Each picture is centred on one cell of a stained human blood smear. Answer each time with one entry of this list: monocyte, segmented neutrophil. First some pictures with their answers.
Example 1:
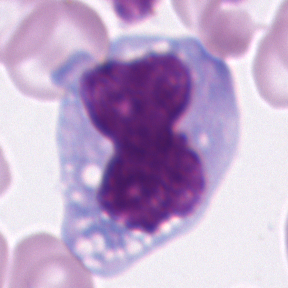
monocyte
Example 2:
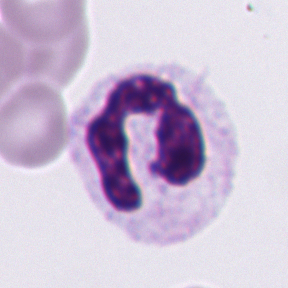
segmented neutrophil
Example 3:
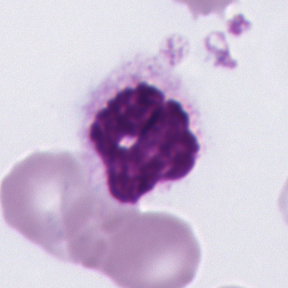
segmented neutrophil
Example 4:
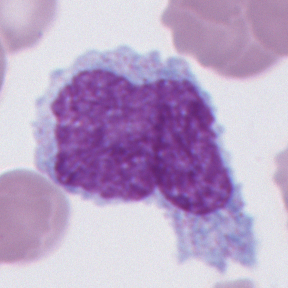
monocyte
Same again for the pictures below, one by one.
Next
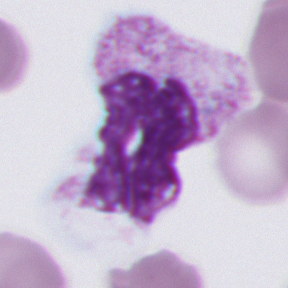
segmented neutrophil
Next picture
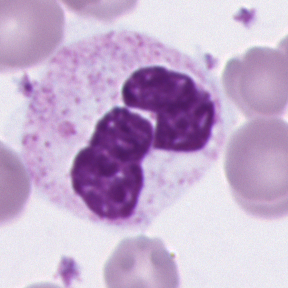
segmented neutrophil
